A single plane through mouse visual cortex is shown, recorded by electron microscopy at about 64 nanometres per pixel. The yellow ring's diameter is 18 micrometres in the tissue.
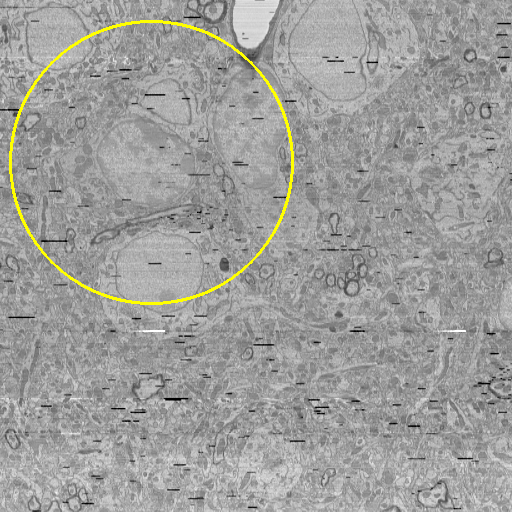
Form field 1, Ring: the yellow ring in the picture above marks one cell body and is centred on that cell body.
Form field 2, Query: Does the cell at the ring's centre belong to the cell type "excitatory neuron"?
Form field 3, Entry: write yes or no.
no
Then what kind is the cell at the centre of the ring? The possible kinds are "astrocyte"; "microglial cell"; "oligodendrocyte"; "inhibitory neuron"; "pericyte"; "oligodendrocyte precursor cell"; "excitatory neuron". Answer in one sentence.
The cell in the ring is an oligodendrocyte instead.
